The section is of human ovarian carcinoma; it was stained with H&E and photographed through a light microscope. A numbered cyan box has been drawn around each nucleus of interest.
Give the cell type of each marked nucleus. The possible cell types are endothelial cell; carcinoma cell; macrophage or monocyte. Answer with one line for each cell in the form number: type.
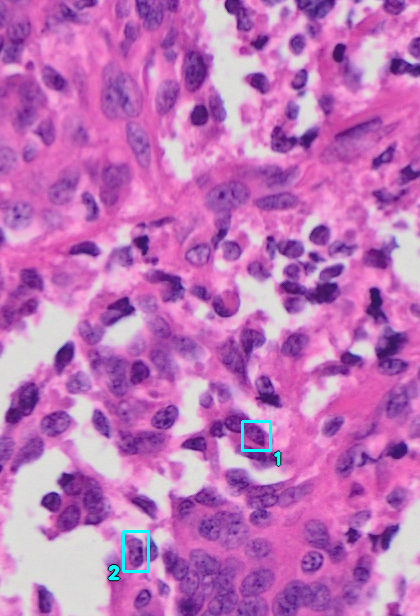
1: carcinoma cell
2: macrophage or monocyte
